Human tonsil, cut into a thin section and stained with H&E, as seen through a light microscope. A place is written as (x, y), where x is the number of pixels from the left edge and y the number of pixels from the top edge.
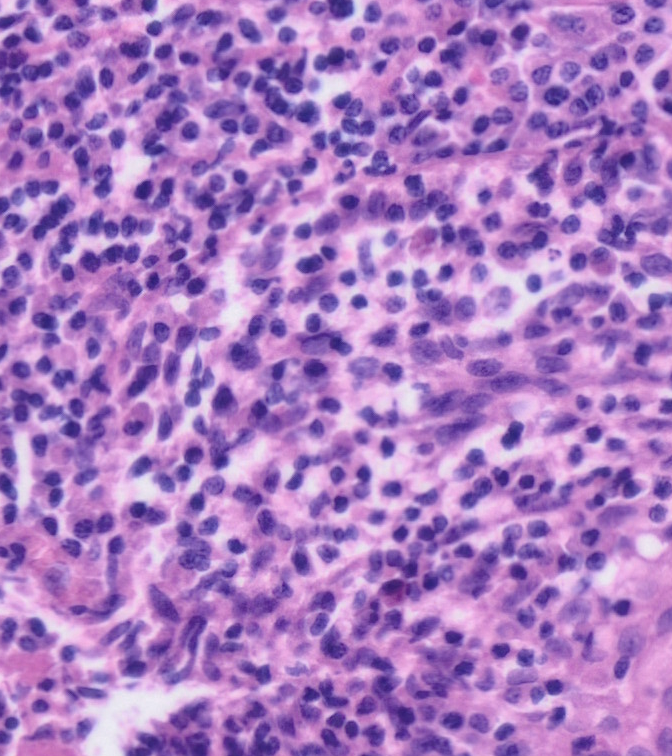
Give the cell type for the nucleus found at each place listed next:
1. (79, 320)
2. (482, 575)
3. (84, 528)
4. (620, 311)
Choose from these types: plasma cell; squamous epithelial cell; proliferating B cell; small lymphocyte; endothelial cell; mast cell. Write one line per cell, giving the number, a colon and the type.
1: plasma cell
2: squamous epithelial cell
3: plasma cell
4: plasma cell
